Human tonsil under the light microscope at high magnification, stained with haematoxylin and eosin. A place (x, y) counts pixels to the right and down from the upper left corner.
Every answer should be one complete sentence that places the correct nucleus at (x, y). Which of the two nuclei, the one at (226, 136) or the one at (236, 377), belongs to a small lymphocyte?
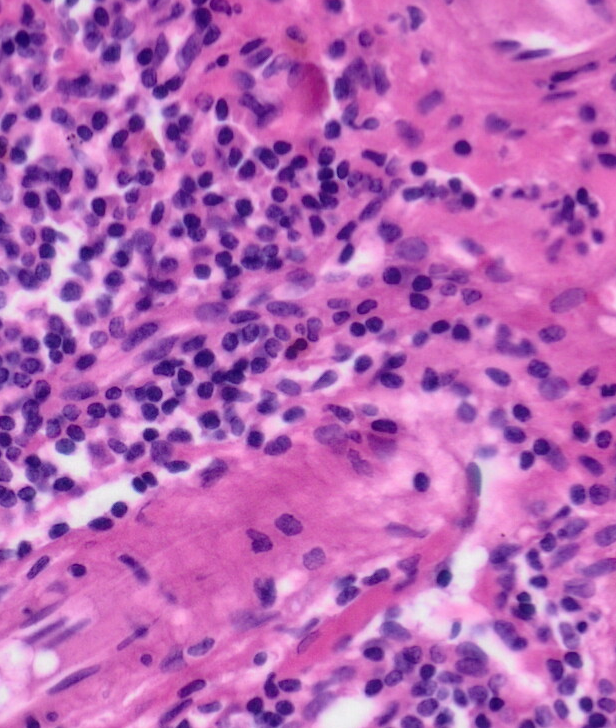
Among the two nuclei, the one found at (236, 377) belongs to a small lymphocyte.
